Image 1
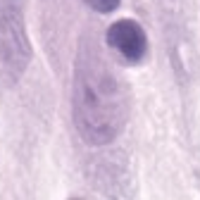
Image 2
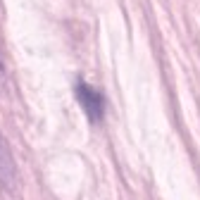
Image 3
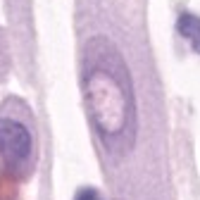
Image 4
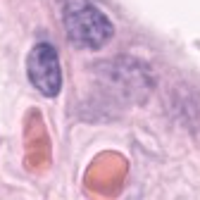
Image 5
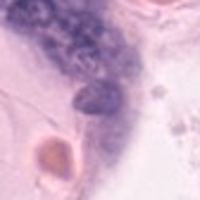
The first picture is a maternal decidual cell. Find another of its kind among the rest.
Picture 3.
